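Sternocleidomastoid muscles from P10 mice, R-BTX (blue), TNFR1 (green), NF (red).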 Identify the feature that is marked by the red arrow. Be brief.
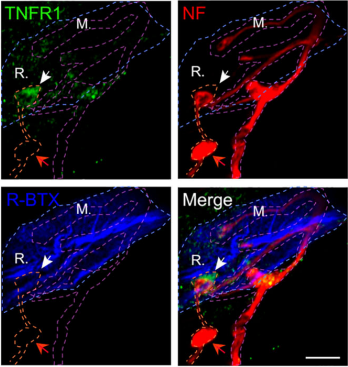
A: retraction bulb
